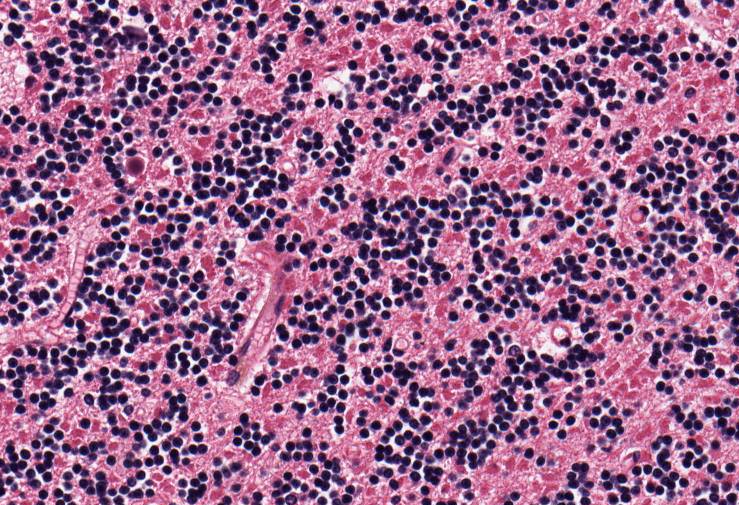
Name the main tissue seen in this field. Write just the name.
granular layer of the cerebellum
